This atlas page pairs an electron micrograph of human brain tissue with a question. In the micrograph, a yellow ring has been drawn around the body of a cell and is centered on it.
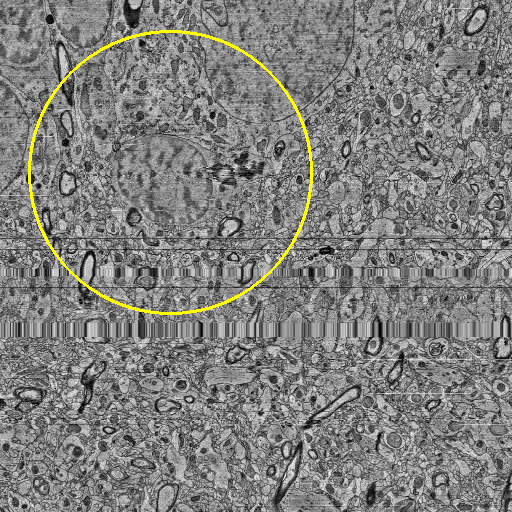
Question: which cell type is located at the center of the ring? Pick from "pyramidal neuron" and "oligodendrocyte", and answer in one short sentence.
Located at the center of the ring is an oligodendrocyte.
